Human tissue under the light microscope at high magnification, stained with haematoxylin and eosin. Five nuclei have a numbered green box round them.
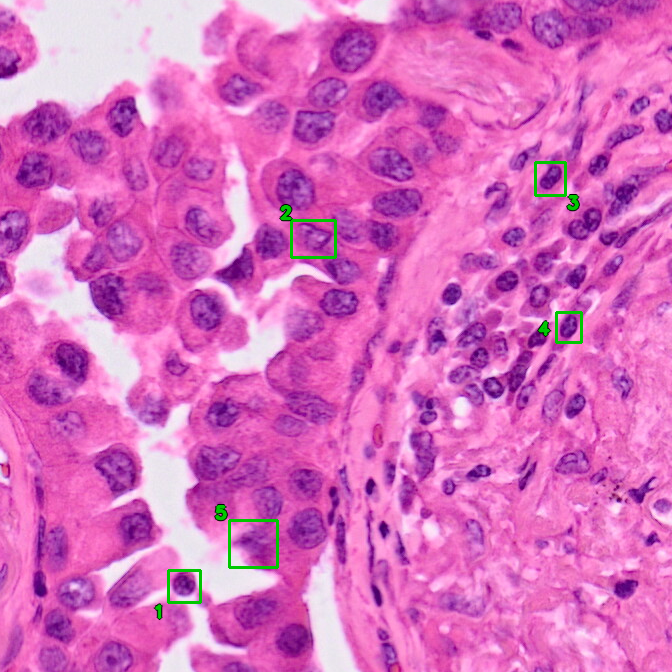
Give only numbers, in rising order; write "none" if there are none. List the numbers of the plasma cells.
3, 4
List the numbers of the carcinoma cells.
2, 5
